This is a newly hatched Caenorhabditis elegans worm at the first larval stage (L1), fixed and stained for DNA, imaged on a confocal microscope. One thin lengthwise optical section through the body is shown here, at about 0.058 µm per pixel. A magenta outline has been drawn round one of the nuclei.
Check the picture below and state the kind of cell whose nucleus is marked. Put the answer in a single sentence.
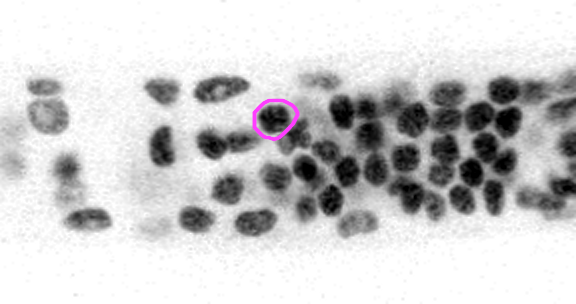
This is the nucleus of a neuron.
